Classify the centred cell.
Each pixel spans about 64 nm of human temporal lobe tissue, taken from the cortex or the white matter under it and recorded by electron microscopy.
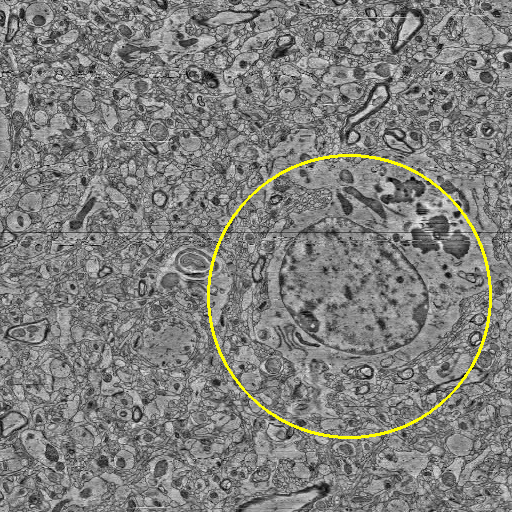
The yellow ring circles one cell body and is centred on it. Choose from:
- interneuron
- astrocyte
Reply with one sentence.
The ring is centred on an astrocyte.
